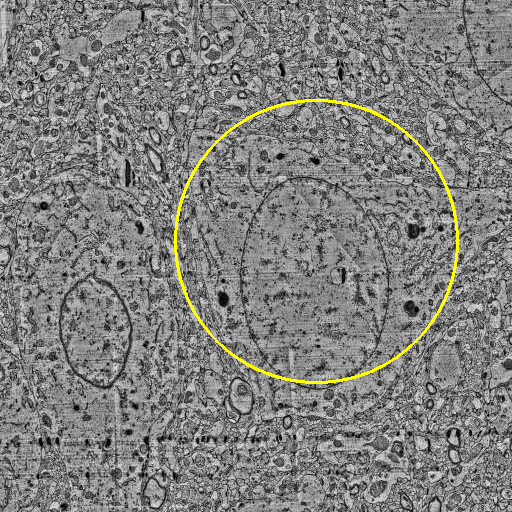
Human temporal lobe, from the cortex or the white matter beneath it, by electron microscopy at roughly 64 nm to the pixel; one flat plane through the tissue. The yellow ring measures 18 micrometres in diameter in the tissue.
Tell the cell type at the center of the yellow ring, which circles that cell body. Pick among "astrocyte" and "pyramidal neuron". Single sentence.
The ring is centered on the body of a pyramidal neuron.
